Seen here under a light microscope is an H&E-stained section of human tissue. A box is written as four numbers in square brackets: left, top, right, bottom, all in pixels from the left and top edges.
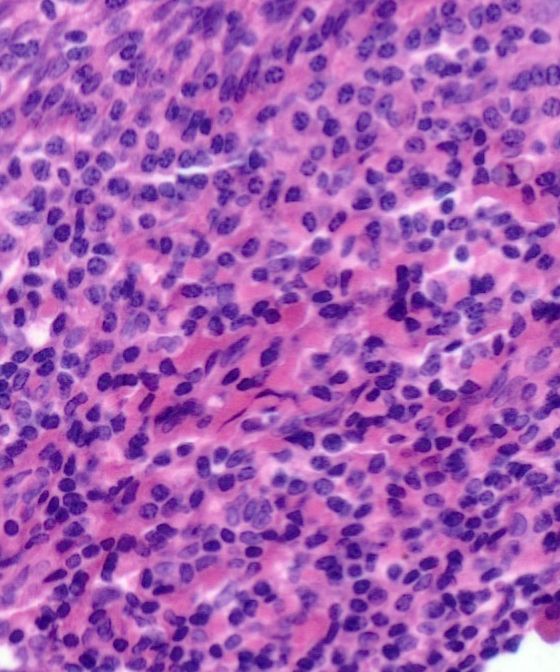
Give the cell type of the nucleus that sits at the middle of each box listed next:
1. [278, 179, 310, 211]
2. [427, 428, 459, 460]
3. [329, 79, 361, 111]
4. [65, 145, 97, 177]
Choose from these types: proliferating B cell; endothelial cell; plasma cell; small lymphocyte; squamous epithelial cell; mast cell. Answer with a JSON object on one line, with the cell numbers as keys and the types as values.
{"1": "plasma cell", "2": "small lymphocyte", "3": "plasma cell", "4": "plasma cell"}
